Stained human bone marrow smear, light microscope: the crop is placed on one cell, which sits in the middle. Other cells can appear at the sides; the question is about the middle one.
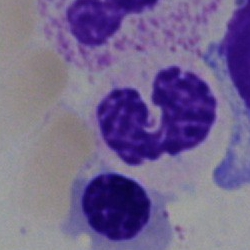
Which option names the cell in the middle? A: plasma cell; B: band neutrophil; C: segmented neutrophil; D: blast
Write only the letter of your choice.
C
